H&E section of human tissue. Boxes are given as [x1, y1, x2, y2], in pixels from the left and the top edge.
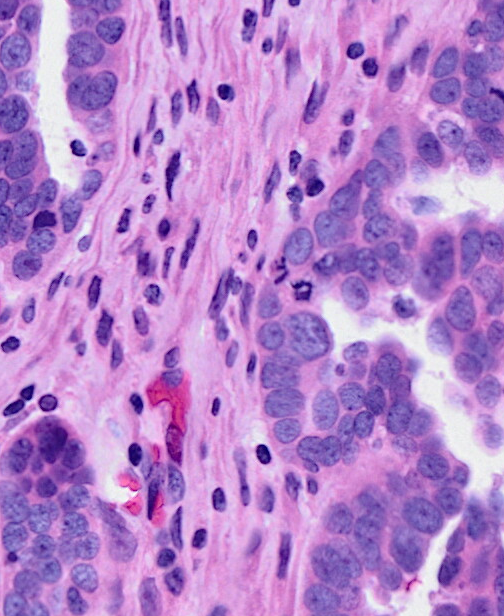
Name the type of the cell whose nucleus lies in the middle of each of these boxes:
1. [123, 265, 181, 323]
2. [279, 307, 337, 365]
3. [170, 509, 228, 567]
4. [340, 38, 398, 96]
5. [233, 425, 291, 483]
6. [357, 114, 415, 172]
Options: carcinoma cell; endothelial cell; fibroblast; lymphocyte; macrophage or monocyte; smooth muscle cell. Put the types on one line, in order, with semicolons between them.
lymphocyte; carcinoma cell; lymphocyte; lymphocyte; lymphocyte; carcinoma cell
